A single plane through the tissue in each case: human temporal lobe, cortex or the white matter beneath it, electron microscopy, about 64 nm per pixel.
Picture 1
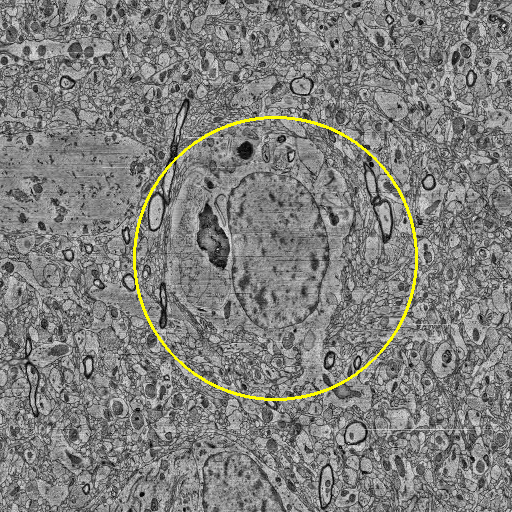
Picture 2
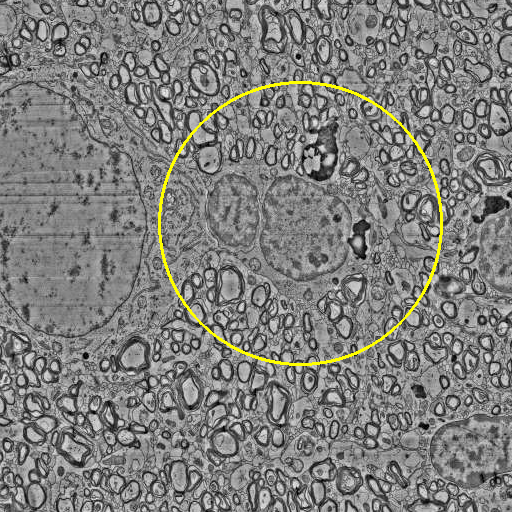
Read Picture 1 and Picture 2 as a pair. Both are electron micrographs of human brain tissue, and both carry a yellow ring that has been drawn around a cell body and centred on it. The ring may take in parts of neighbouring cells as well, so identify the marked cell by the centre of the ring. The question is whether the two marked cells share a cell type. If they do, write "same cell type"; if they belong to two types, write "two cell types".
two cell types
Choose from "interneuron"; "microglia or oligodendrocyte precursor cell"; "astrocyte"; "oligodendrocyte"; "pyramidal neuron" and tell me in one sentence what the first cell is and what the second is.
What the first ring is centred on is an astrocyte; what the second ring is centred on is an oligodendrocyte.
